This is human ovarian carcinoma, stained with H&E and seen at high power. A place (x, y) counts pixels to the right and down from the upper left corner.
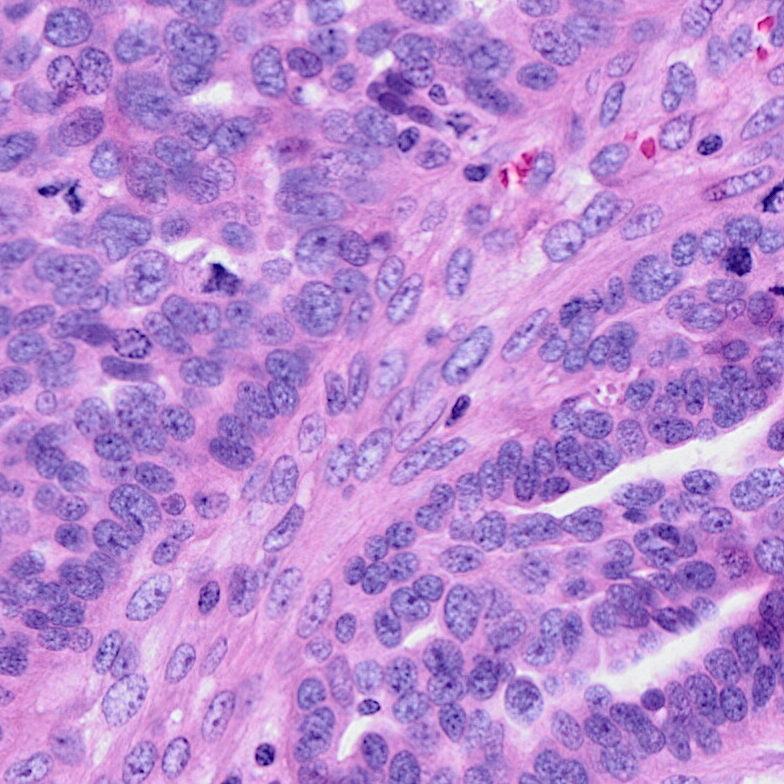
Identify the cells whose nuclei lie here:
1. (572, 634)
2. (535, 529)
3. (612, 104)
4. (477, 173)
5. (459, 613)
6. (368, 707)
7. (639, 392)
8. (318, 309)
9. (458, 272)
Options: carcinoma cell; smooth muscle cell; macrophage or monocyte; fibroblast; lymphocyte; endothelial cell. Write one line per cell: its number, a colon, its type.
1: carcinoma cell
2: carcinoma cell
3: fibroblast
4: lymphocyte
5: carcinoma cell
6: lymphocyte
7: carcinoma cell
8: carcinoma cell
9: fibroblast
